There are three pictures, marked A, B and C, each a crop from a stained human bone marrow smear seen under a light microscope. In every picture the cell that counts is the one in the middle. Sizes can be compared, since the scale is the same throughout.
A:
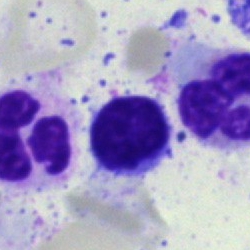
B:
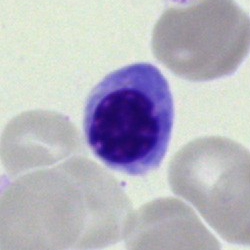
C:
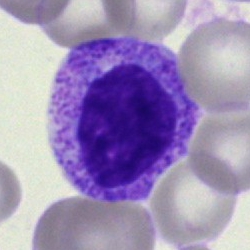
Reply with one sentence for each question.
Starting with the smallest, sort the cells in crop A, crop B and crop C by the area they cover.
The order is A, B, C, beginning with the smallest.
